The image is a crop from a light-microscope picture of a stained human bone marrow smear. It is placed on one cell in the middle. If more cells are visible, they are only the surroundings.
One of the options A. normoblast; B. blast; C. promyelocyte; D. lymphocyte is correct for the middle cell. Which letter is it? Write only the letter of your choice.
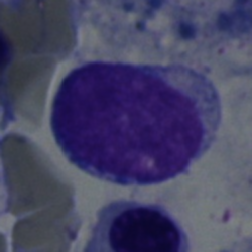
B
